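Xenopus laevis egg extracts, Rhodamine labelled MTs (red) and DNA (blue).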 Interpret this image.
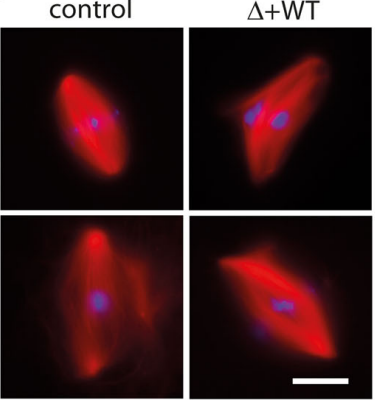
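Small blue chromatin masses sit near the middle of each spindle. The arrays differ somewhat in width and in how densely the red fibres are packed.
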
